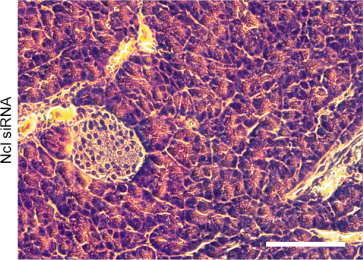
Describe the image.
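This is pancreas of ordinary structure, made mostly of tightly packed acini whose cells stain pink-purple with dark nuclei. At the lower left a rounded, paler islet stands out from the surrounding acinar tissue, and thin pale septa and small spaces run between the lobules.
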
